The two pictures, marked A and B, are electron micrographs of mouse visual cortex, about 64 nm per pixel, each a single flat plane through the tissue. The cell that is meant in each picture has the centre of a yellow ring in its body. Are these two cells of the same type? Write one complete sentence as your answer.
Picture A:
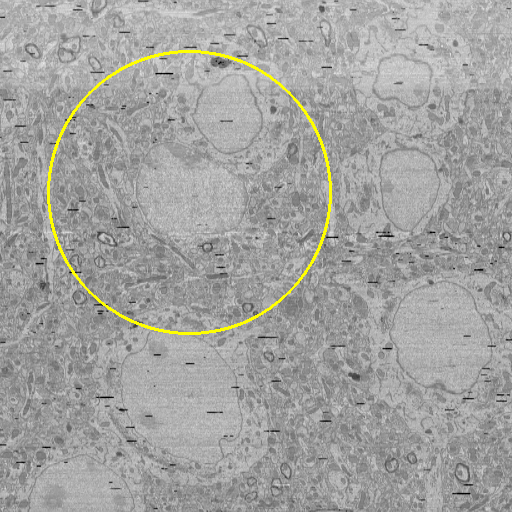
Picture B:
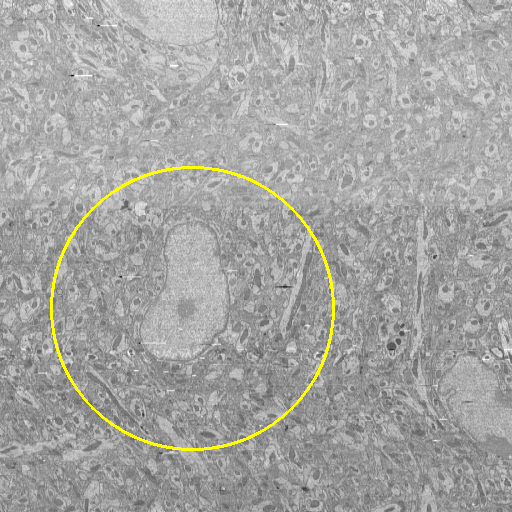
Yes, both are astrocytes.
